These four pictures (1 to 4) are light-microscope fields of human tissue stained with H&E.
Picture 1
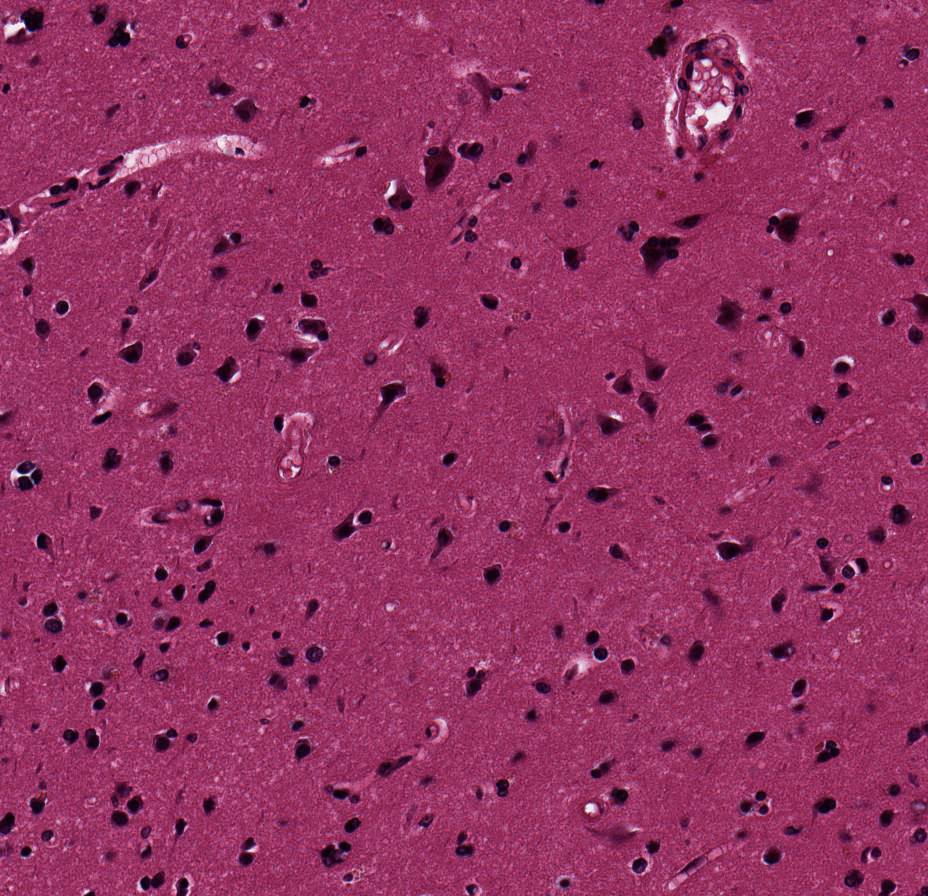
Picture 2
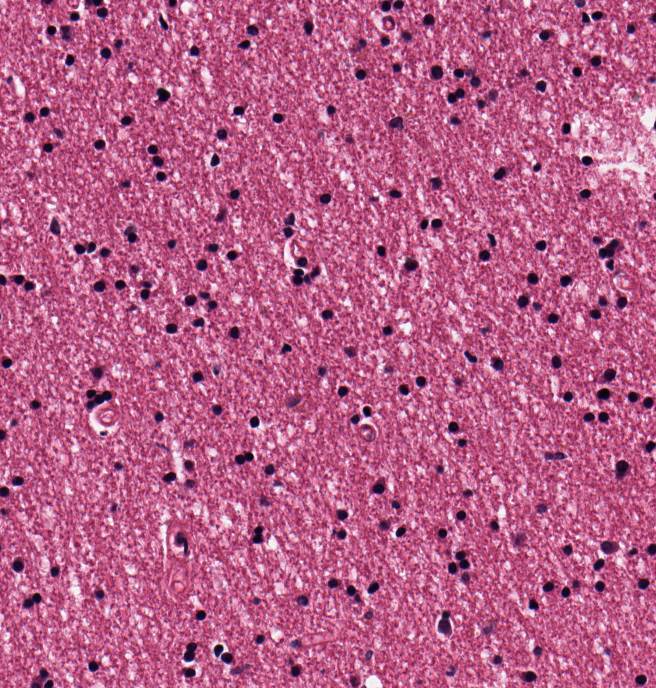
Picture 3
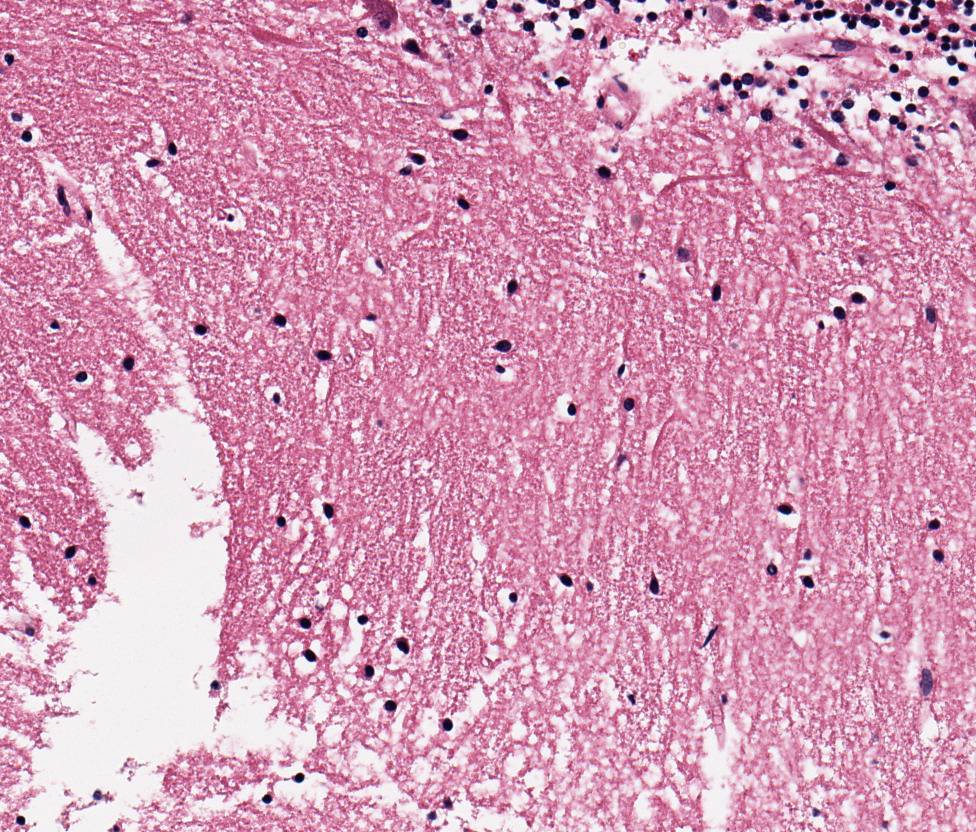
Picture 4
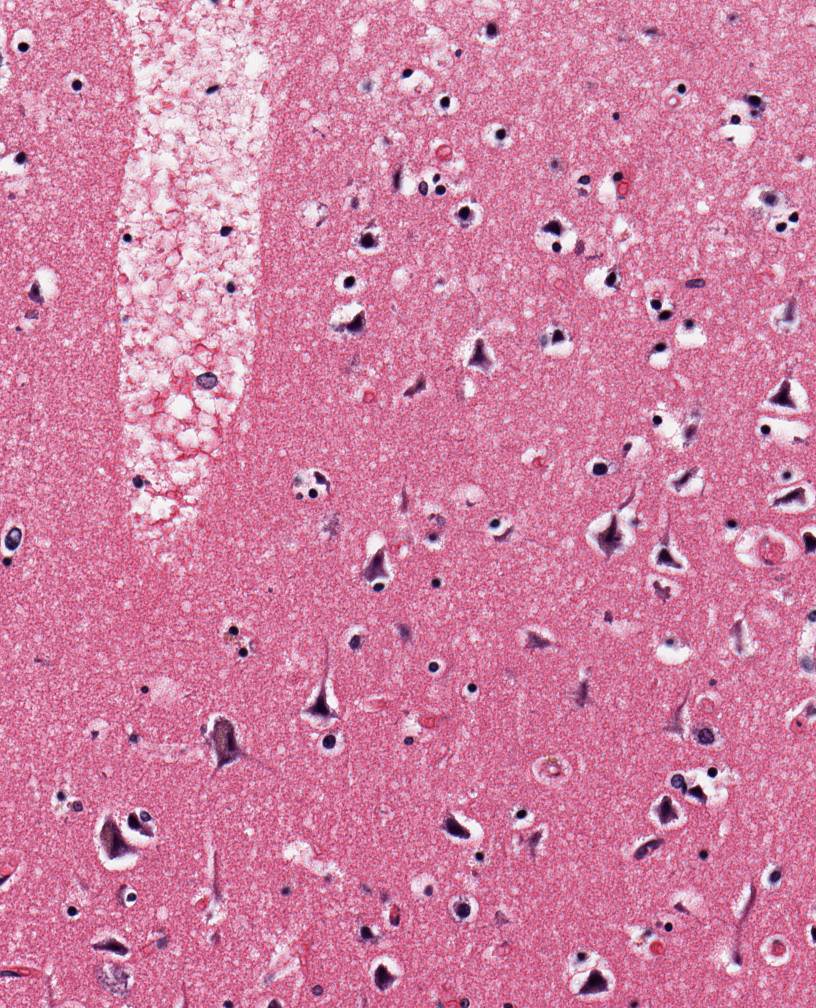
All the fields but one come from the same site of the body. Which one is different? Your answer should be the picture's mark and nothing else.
3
